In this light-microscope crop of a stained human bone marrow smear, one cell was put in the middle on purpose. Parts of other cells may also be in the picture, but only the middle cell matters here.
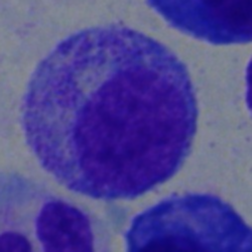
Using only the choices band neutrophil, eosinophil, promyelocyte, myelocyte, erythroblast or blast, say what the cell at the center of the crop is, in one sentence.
Here the cell in the middle is a myelocyte.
